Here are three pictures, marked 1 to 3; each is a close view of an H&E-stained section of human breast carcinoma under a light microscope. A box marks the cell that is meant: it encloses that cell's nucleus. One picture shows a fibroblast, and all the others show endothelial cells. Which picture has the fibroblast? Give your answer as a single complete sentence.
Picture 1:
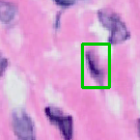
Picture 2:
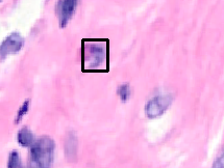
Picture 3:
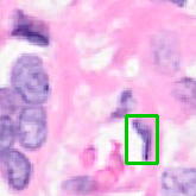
Picture 1 is the one that shows the fibroblast.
